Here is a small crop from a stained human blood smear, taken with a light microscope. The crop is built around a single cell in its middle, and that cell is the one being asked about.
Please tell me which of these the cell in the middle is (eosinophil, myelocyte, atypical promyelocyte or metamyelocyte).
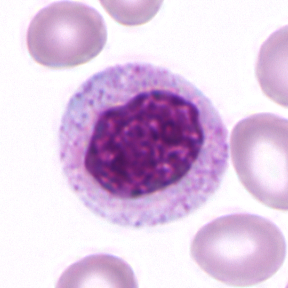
metamyelocyte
